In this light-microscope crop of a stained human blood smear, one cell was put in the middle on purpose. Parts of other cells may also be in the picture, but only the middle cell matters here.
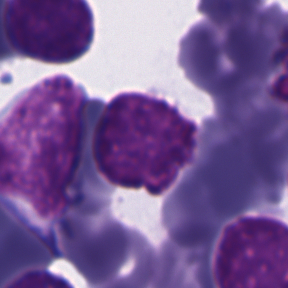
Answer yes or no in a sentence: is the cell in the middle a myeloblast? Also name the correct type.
No, it is a smudge cell rather than a myeloblast that the middle of the crop contains.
